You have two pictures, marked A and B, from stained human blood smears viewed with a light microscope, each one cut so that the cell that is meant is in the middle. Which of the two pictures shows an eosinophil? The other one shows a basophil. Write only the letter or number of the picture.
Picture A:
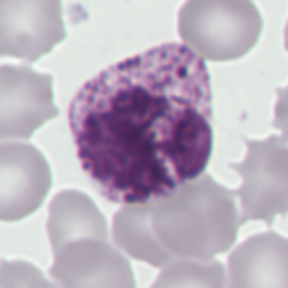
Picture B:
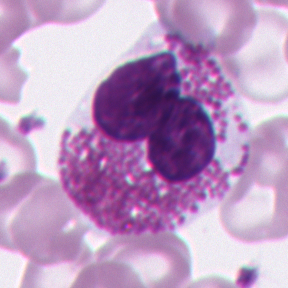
B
